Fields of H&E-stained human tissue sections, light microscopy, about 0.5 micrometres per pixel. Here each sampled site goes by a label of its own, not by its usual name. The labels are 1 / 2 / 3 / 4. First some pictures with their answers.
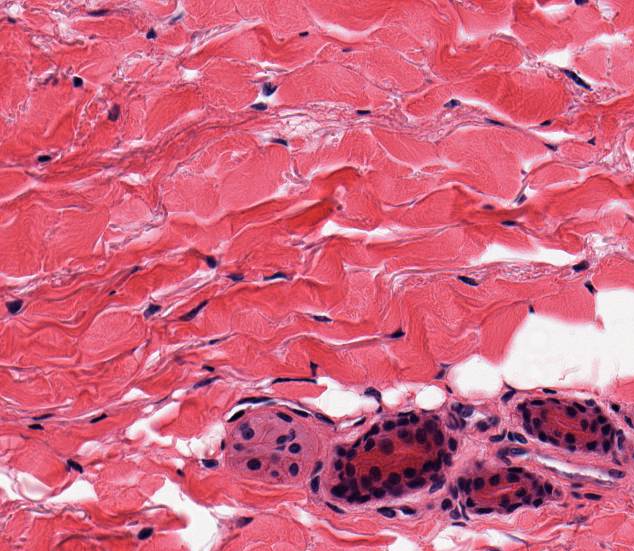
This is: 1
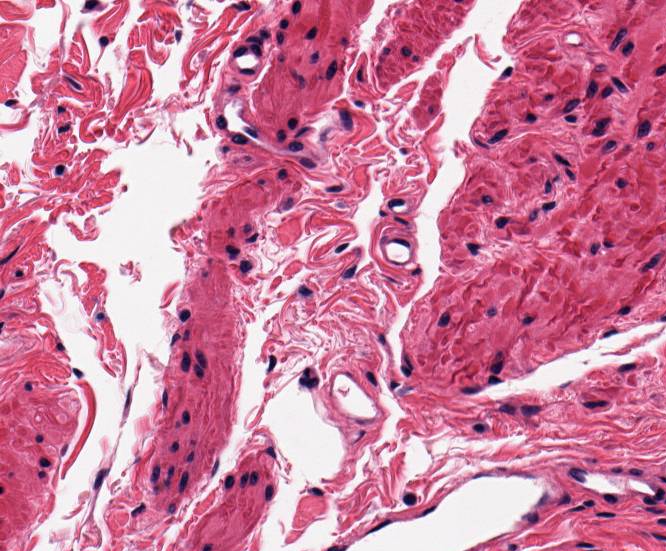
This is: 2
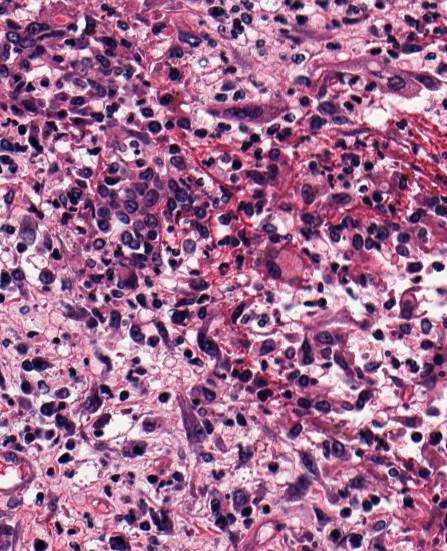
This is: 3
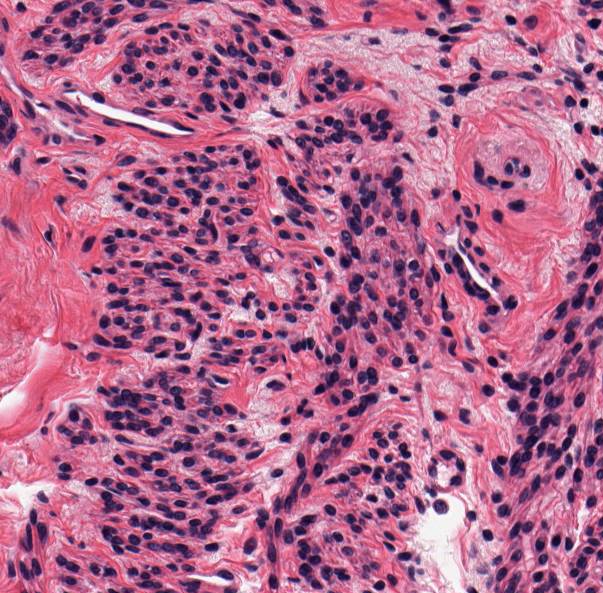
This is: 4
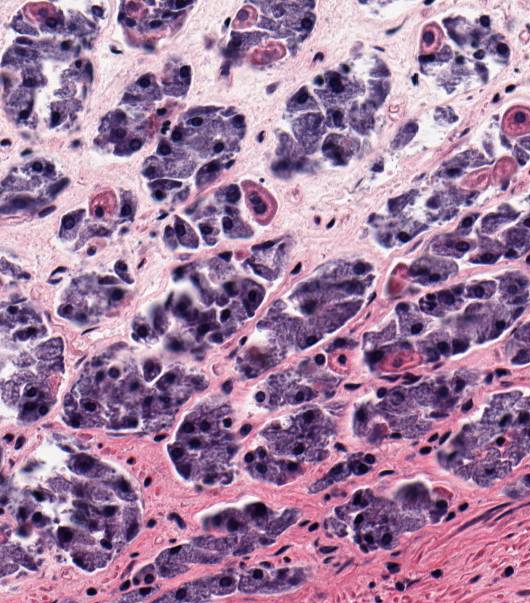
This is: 2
